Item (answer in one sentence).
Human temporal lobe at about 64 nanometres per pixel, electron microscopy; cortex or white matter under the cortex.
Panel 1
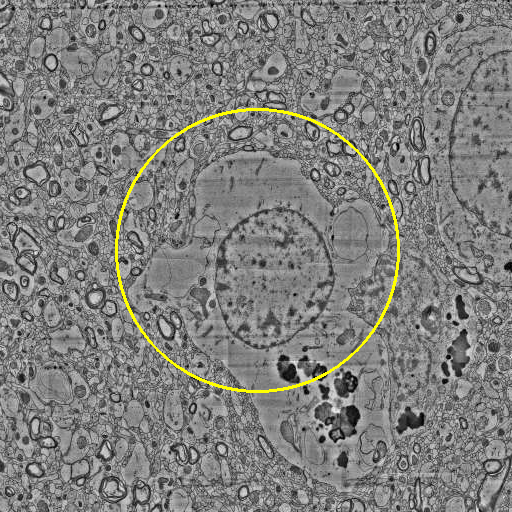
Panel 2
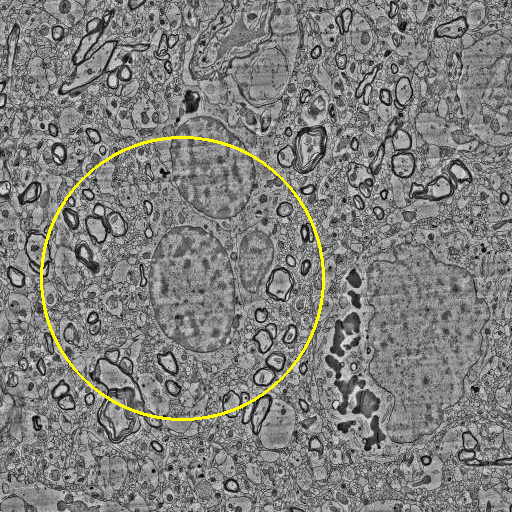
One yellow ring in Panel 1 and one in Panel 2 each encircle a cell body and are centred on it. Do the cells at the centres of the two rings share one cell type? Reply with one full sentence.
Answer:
No, Panel 1 and Panel 2 show cells of two types at the centres of their rings.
